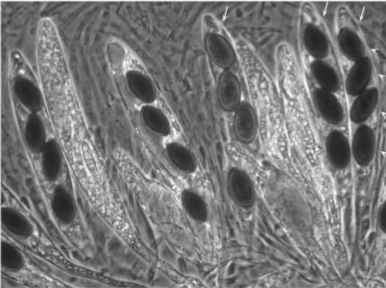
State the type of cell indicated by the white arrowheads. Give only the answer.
Ascospores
